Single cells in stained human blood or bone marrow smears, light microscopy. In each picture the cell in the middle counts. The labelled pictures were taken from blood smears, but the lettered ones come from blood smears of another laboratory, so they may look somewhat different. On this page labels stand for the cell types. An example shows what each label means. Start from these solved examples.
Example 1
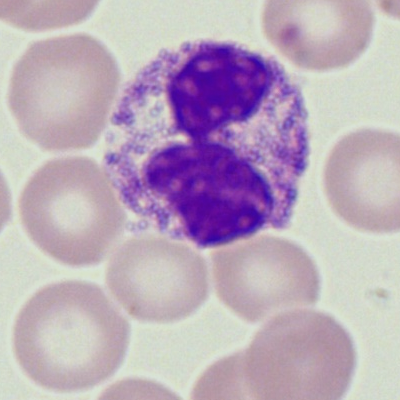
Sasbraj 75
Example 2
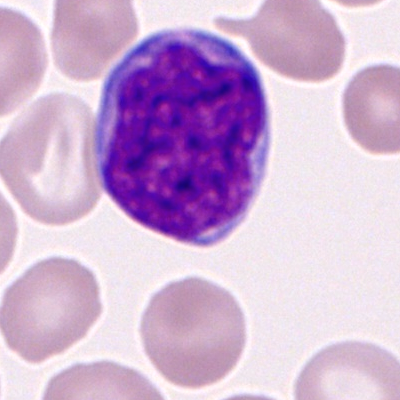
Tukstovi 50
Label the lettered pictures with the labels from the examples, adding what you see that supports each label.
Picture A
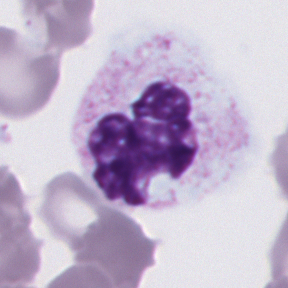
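Label: Sasbraj 75. The cytoplasm is plentiful and very pale.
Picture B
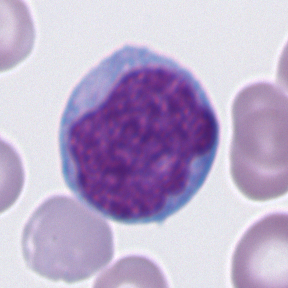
Label: Tukstovi 50. The cytoplasm forms a narrow pale blue rim that is widest at the upper left.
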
